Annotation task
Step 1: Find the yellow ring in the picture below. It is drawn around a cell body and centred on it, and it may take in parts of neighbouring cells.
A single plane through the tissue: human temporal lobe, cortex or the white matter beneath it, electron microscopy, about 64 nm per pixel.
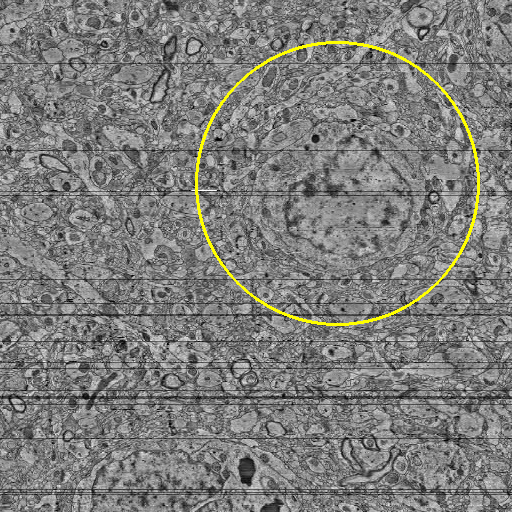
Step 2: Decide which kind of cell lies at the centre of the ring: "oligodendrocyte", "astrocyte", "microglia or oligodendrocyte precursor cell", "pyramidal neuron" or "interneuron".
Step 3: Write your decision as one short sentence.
The kind of cell at the ring's centre is an interneuron.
